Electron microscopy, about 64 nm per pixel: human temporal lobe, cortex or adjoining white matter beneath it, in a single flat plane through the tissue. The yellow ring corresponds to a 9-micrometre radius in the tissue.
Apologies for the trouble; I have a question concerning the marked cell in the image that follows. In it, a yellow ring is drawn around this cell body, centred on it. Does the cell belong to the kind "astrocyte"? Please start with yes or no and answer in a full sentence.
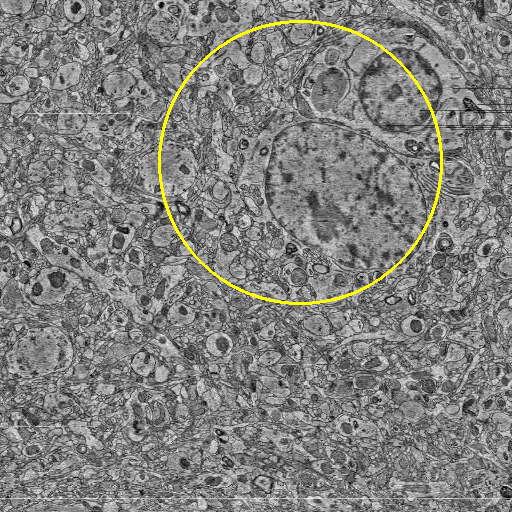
Yes, the cell at the centre of the ring in the picture is of that kind.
